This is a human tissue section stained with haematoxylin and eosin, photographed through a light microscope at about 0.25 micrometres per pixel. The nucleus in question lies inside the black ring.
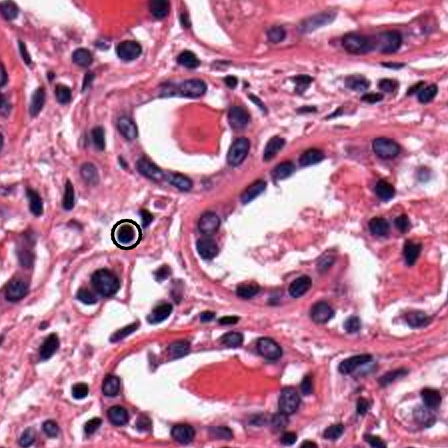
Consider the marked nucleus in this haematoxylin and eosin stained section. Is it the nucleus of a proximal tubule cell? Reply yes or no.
no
